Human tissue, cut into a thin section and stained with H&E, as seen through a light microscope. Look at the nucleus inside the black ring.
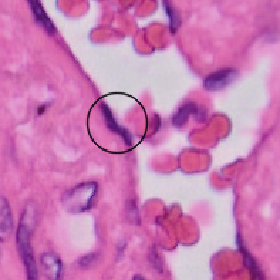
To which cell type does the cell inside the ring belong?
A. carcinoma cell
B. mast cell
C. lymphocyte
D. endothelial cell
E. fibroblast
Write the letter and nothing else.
D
